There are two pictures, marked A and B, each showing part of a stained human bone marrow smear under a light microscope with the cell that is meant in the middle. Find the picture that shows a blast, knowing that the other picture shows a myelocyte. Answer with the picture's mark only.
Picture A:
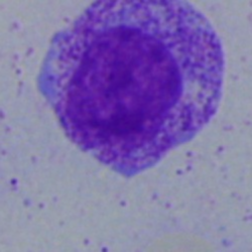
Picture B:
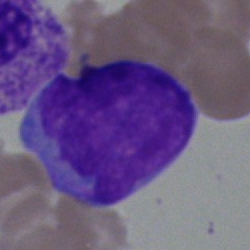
B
